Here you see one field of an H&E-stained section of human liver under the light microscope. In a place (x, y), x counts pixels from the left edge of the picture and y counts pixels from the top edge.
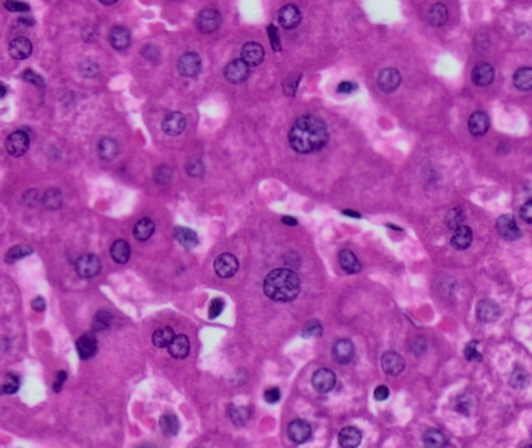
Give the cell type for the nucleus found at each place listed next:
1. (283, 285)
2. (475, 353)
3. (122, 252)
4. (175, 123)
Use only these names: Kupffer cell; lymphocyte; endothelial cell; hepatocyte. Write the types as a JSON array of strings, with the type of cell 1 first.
["hepatocyte", "endothelial cell", "hepatocyte", "hepatocyte"]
